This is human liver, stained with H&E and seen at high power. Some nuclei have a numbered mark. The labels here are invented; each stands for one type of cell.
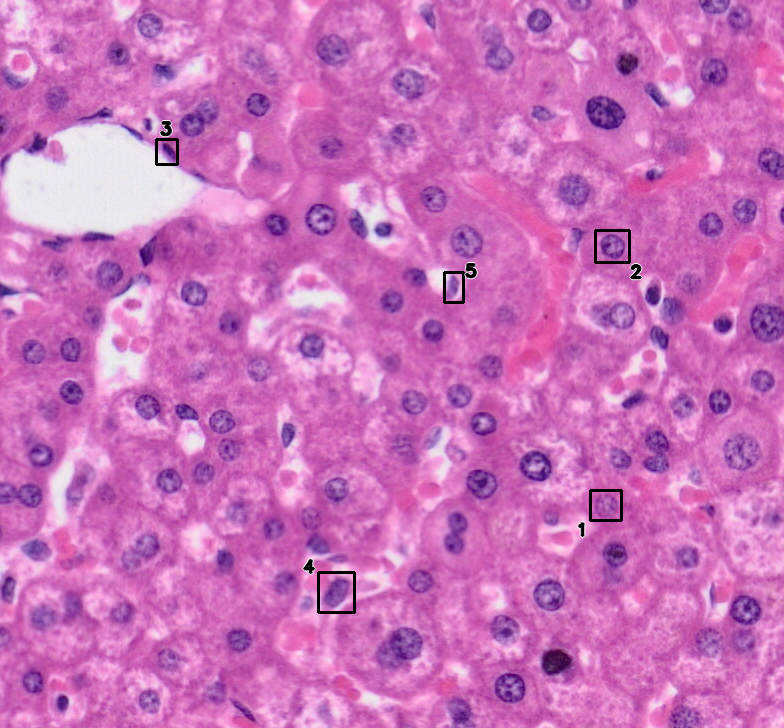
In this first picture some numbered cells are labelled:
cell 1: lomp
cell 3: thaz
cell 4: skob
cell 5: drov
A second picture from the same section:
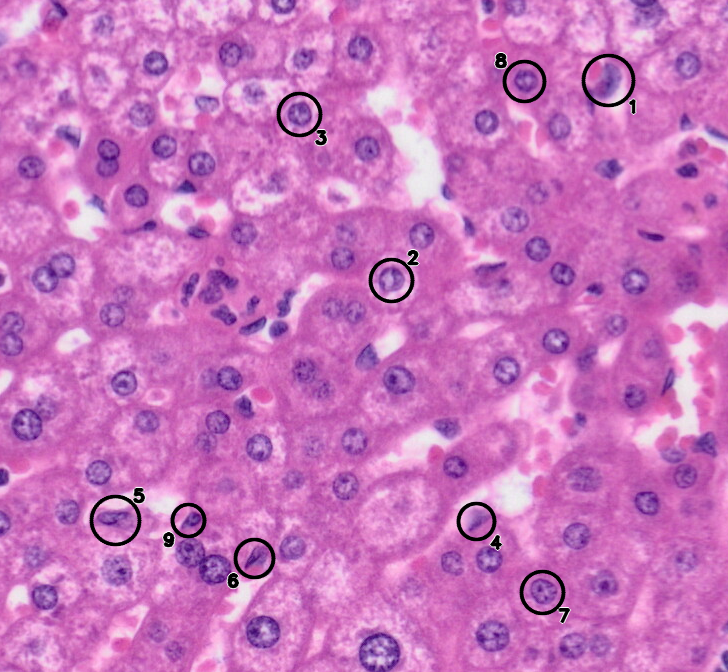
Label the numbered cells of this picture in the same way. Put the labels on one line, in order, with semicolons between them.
drov; lomp; lomp; drov; skob; drov; lomp; lomp; thaz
